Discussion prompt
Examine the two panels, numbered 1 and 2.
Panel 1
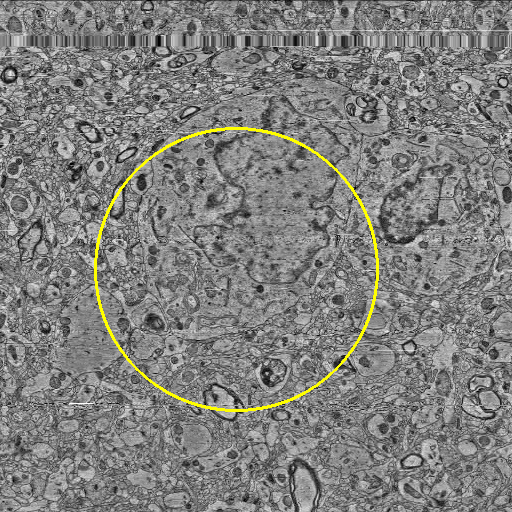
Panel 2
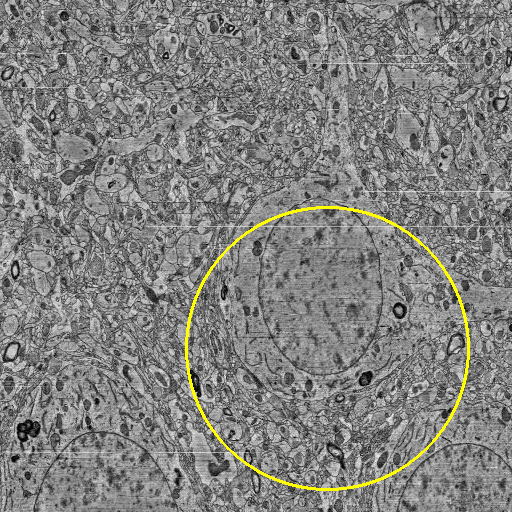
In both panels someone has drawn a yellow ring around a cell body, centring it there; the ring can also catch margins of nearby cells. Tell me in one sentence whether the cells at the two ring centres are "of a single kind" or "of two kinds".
Taken together, the two cells centred in the rings of Panels 1 and 2 are of two kinds.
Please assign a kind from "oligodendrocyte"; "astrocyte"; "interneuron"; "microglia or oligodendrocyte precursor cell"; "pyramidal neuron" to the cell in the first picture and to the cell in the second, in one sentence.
In the first picture we have an interneuron, and in the second, a pyramidal neuron.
